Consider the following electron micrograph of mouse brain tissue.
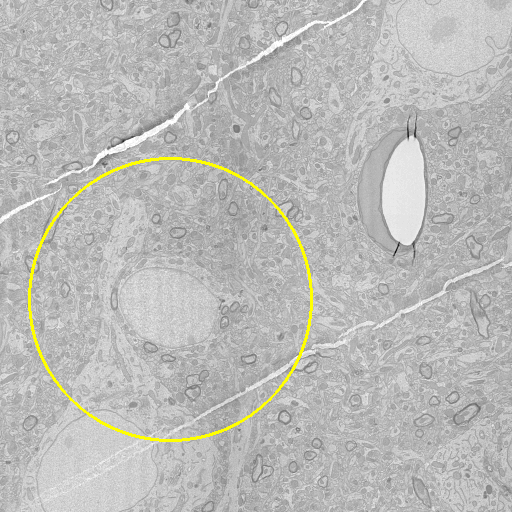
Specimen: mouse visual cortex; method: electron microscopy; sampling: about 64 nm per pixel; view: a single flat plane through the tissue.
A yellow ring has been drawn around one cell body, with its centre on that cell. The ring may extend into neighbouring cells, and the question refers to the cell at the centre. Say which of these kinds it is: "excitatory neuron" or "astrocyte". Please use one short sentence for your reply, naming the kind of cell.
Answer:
The centre of the ring falls on an astrocyte.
